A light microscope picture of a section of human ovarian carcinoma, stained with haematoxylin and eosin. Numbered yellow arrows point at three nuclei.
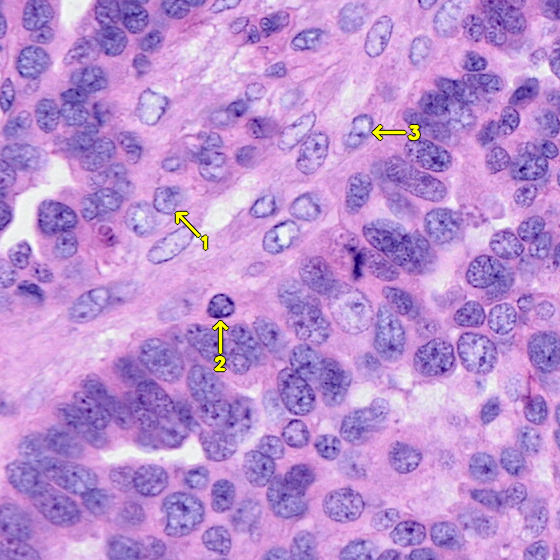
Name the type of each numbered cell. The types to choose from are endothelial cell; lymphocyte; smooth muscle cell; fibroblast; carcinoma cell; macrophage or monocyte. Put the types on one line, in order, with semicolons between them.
fibroblast; macrophage or monocyte; fibroblast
